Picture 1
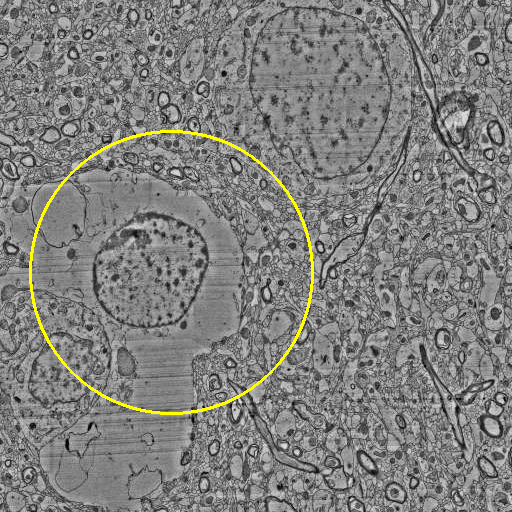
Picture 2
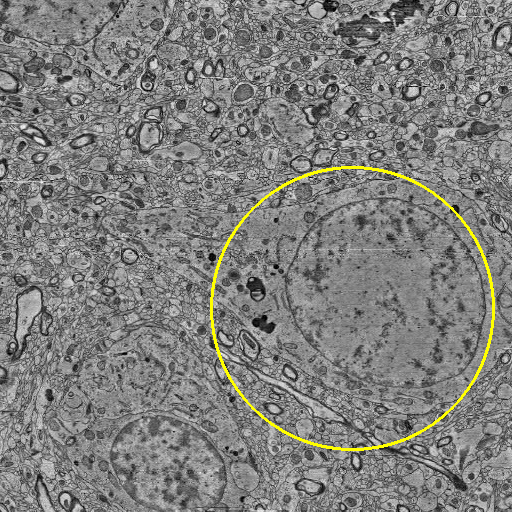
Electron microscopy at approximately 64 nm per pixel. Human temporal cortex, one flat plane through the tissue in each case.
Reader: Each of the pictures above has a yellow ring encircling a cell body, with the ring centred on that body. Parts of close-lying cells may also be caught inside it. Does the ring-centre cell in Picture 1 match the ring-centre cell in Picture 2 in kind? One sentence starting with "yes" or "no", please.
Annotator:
No, Picture 1 and Picture 2 show ring-centre cells of two kinds.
